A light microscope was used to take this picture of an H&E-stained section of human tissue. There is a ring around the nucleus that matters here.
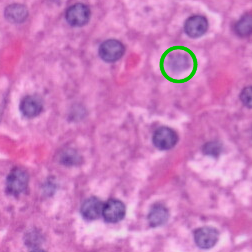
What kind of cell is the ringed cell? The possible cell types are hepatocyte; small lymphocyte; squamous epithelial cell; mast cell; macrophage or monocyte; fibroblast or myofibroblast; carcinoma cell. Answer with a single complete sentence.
In the stained section, the ringed cell is a hepatocyte.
